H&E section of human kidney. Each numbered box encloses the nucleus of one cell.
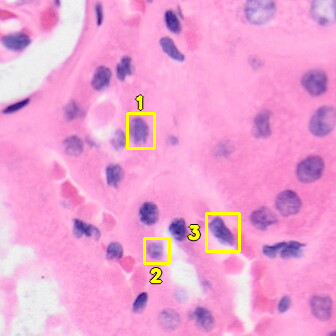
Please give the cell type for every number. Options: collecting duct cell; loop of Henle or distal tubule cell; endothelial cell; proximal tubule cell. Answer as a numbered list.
1. loop of Henle or distal tubule cell
2. loop of Henle or distal tubule cell
3. endothelial cell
